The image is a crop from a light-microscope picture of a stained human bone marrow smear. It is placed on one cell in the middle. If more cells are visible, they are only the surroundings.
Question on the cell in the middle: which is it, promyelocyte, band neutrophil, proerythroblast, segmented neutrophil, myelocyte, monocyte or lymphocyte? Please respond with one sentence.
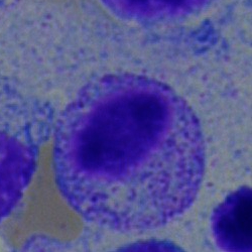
The cell nearest the centre of this crop is a myelocyte.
